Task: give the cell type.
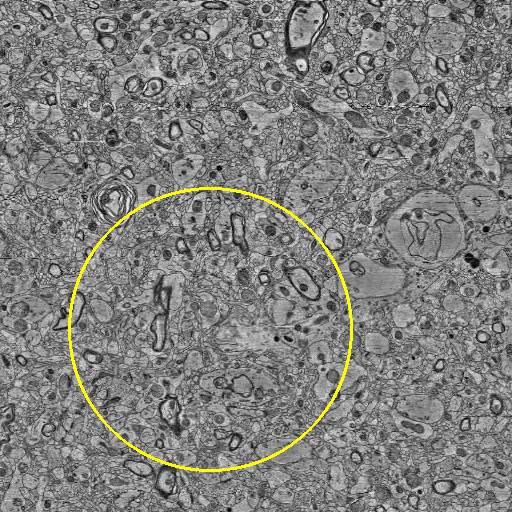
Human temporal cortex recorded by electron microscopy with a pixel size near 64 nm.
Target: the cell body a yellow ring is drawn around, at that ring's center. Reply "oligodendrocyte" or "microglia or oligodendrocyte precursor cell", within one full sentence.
In this picture, the cell whose body lies at the ring's center is a microglial cell or oligodendrocyte precursor cell.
